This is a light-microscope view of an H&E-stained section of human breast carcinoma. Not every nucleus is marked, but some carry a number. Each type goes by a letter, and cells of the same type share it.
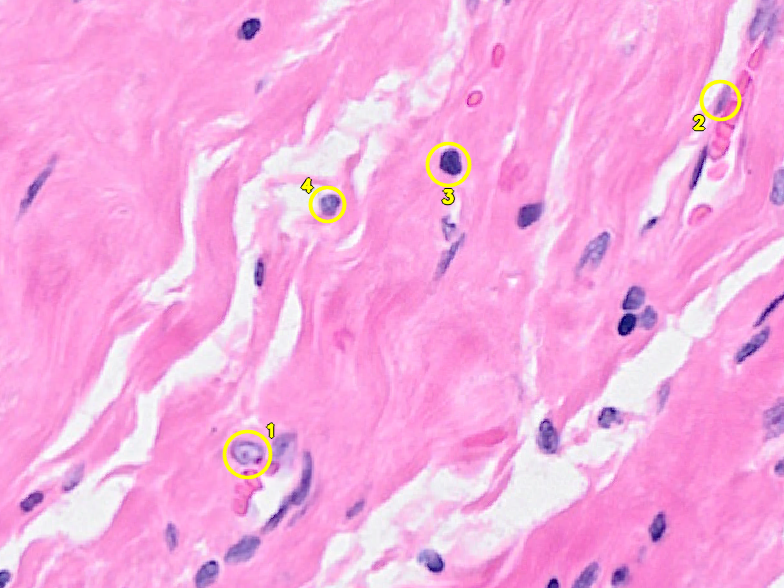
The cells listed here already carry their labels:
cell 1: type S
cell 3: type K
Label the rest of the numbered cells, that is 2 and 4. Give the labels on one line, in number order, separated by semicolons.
type S; type K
